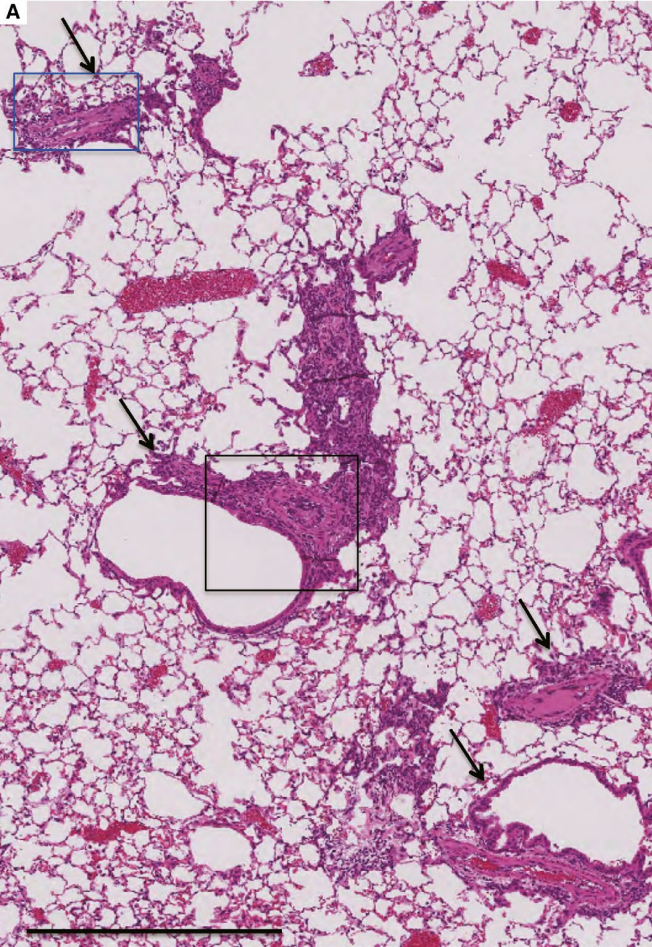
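Low-power lung tissue in pink and purple shows mostly open, thin-walled alveolar spaces, with scattered vessels filled with red blood cells. In places these cuffs spread as bands along the bronchovascular bundles into the nearby tissue, while the alveoli farther away look largely spared. This pattern fits inflammatory cell infiltration that follows the bronchovascular bundles, giving peribronchial and perivascular inflammatory lesions.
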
